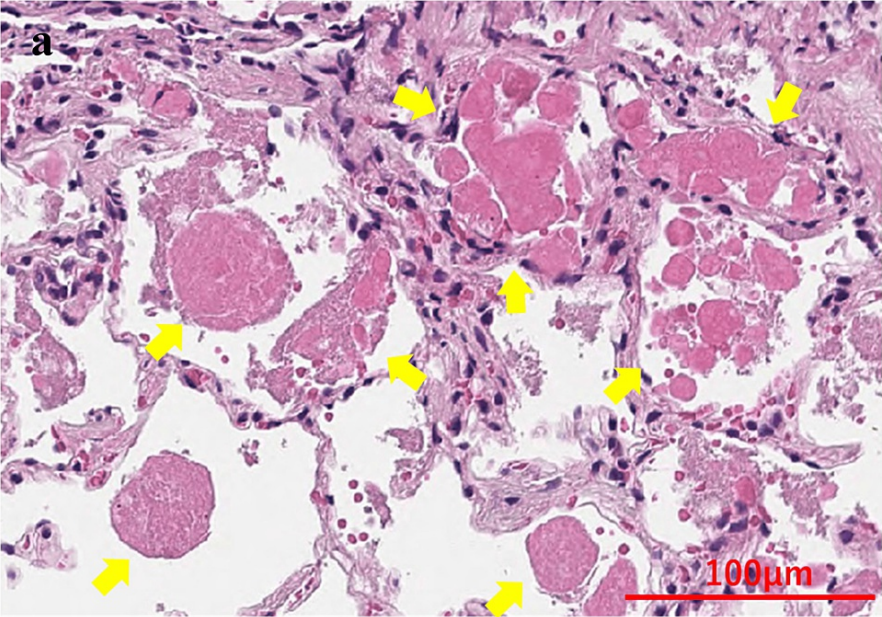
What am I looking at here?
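This lung tissue shows eosinophilic bodies filling many alveolar spaces: rounded or irregular pink masses with a finely granular, homogeneous texture and no nuclei. They lie free within the air spaces, some sized like small globules and others forming large clumps that nearly fill an alveolus. The alveolar septa around them are thin to mildly thickened, with dark oval and spindle-shaped nuclei. Scattered red blood cells lie in the air spaces and septa.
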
